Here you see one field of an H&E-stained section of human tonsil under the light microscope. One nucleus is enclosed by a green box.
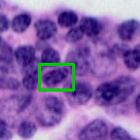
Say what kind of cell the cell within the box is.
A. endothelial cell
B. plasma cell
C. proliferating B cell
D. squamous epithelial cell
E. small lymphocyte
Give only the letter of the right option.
C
